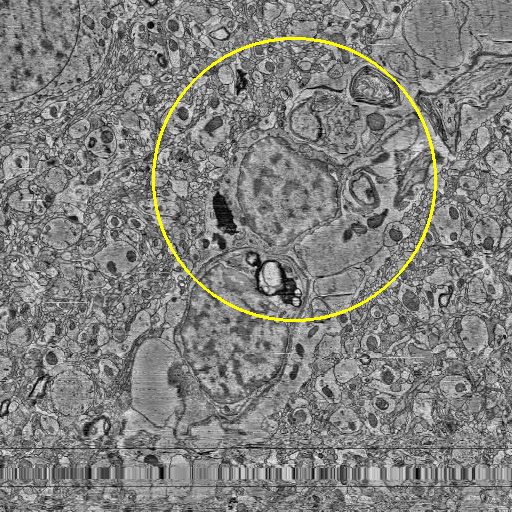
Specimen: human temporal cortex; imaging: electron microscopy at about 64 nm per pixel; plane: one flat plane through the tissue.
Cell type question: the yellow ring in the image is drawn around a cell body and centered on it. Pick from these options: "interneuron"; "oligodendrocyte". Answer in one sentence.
The ringed cell at the center is an oligodendrocyte.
